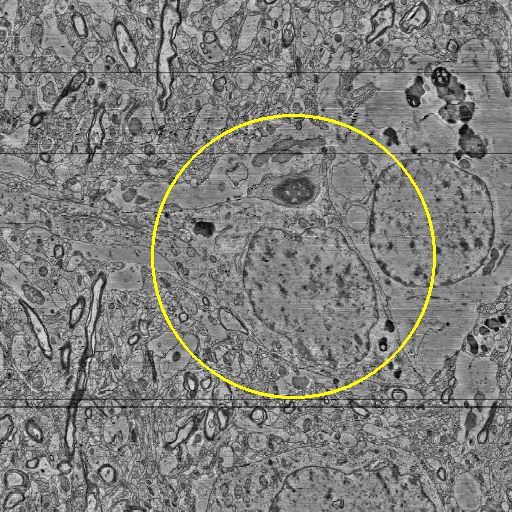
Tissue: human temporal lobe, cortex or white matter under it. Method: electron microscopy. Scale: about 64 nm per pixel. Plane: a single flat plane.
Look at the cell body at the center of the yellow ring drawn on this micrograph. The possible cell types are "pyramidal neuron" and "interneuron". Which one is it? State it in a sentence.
The cell in the middle of the ring is an interneuron.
